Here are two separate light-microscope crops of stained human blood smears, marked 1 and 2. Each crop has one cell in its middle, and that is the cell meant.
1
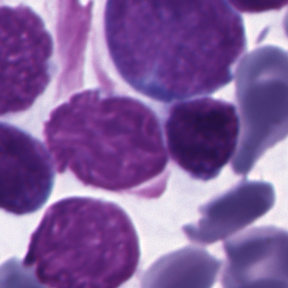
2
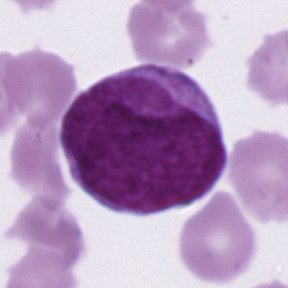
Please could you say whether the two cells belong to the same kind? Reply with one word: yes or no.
yes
